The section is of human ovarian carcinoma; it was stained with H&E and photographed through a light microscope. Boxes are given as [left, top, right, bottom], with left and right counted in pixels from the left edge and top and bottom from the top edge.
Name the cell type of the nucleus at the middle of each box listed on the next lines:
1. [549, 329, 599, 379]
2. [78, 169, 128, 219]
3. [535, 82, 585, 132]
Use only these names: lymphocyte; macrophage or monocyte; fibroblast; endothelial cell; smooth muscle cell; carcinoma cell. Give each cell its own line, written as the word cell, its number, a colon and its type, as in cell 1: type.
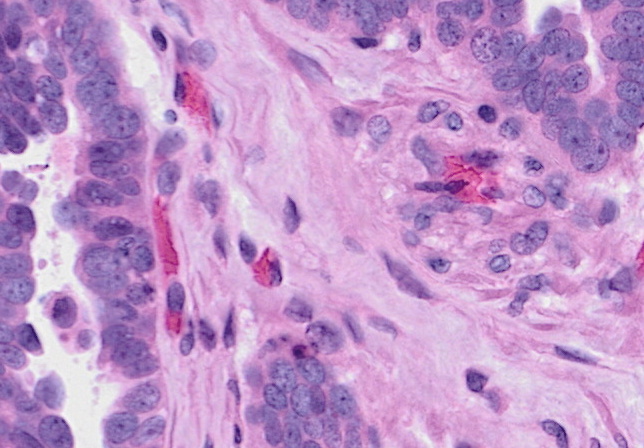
cell 1: fibroblast
cell 2: carcinoma cell
cell 3: carcinoma cell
